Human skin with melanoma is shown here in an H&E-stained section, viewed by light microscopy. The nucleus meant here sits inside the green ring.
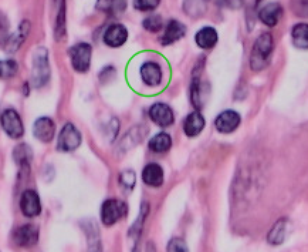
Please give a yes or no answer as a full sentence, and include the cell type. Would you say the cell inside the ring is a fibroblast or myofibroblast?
No, the cell inside the ring is typed as a lymphocyte rather than as a fibroblast or myofibroblast.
